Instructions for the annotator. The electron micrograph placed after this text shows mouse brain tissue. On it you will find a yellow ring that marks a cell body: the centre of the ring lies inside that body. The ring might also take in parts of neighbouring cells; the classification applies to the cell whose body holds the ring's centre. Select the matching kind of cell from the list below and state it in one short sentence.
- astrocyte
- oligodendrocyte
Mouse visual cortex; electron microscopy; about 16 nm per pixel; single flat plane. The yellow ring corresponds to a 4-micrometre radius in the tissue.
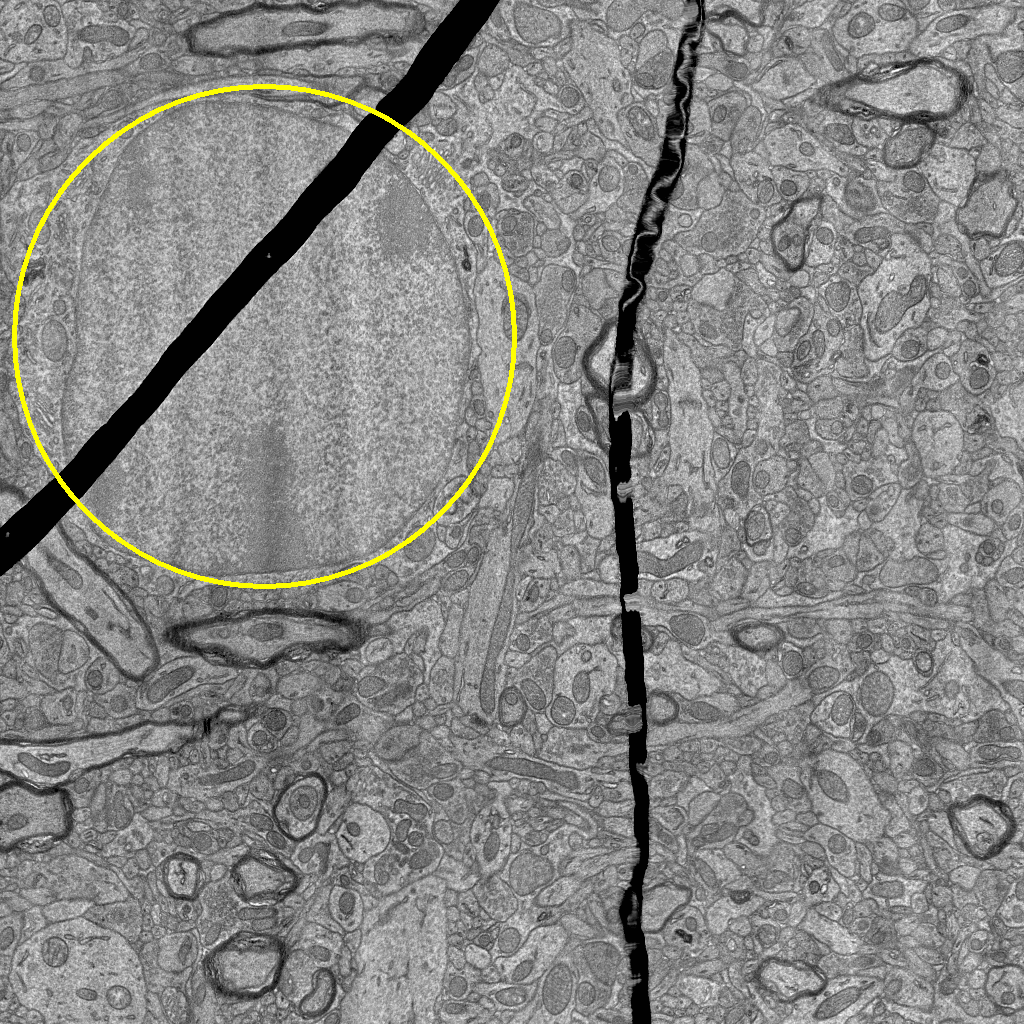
The centre of the ring lies in the cell body of an astrocyte.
